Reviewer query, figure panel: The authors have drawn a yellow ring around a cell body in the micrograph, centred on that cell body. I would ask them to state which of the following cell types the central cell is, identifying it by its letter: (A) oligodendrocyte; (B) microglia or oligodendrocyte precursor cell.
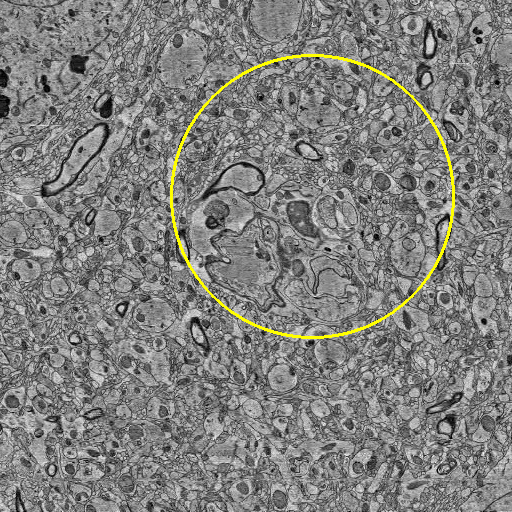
B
